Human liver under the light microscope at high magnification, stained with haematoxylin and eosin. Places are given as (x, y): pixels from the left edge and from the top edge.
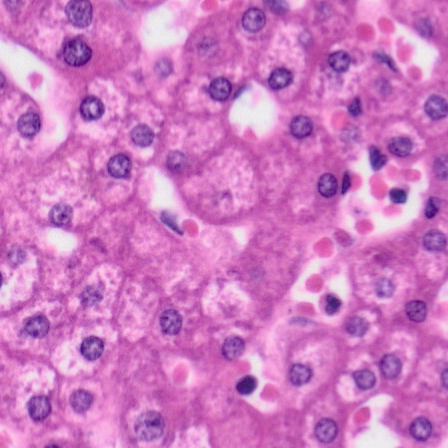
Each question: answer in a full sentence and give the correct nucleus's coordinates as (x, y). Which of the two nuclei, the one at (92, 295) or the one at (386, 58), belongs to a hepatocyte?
The nucleus at (92, 295) is assigned to a hepatocyte.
